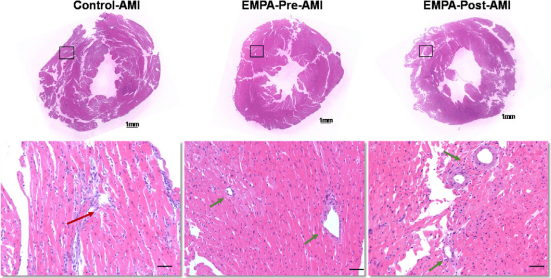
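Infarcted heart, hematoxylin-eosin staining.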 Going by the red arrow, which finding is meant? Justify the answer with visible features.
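Destroyed/disrupted vessel. The red arrow points to a small vessel-like space in the pink myocardium. The wall around this space looks irregular rather than a clean ring.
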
